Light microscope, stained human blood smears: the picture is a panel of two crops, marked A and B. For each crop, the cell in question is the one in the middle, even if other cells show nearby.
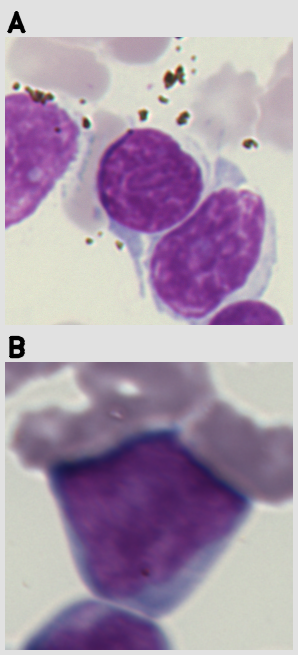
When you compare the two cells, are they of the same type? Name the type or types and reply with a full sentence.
Yes, blasts are the central cells in the two crops.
